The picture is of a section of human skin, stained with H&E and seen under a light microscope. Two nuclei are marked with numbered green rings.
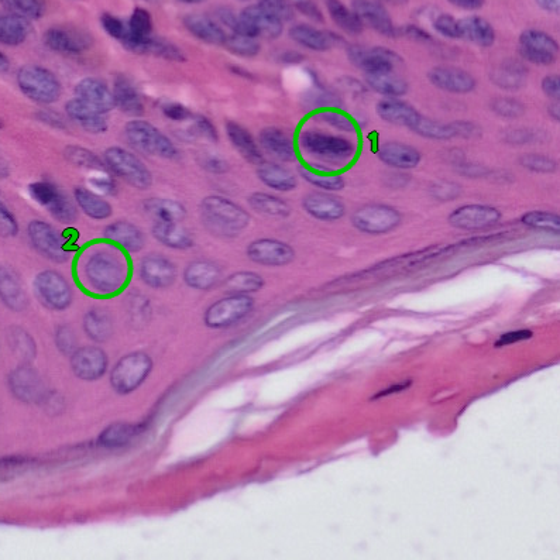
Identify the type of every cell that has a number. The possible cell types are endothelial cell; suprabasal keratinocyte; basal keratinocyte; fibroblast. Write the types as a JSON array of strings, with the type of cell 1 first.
["basal keratinocyte", "suprabasal keratinocyte"]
